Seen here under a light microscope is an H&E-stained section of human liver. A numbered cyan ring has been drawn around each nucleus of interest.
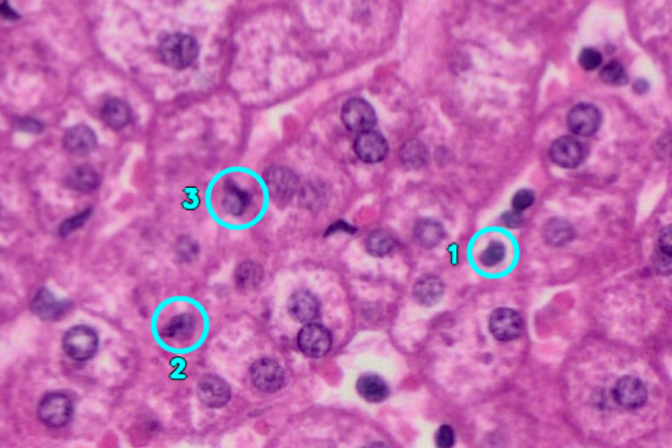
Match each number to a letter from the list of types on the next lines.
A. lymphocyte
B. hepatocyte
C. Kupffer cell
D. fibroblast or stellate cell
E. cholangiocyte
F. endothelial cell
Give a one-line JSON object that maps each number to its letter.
{"1": "A", "2": "F", "3": "F"}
